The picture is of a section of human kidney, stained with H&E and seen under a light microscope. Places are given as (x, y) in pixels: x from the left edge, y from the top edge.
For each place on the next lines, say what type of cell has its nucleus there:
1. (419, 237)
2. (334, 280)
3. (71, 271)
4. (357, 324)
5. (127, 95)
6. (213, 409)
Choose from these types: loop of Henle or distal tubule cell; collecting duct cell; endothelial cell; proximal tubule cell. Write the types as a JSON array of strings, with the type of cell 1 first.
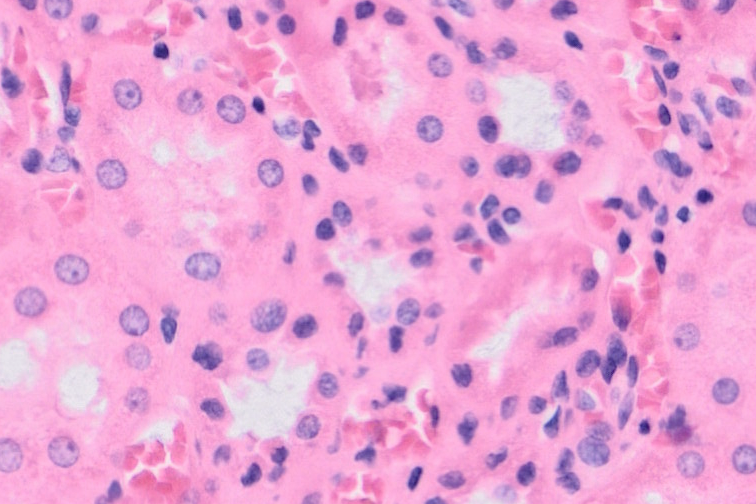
["loop of Henle or distal tubule cell", "loop of Henle or distal tubule cell", "proximal tubule cell", "loop of Henle or distal tubule cell", "proximal tubule cell", "loop of Henle or distal tubule cell"]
